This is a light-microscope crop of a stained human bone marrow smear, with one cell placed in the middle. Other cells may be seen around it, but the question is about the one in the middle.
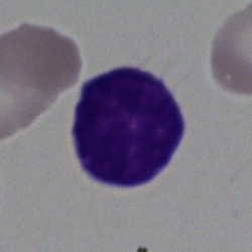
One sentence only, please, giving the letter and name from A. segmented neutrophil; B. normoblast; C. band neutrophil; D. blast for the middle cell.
The cell placed in the middle is a blast; option D is correct.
